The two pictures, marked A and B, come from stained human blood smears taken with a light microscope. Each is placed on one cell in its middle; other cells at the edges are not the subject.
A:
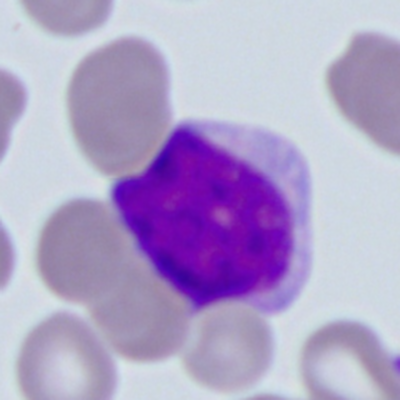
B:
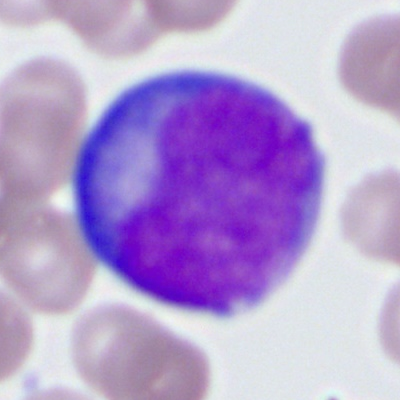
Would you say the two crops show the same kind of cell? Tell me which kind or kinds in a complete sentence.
Yes, the middle cells in both crops are indeed myeloblasts.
